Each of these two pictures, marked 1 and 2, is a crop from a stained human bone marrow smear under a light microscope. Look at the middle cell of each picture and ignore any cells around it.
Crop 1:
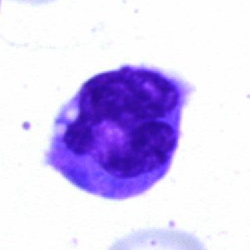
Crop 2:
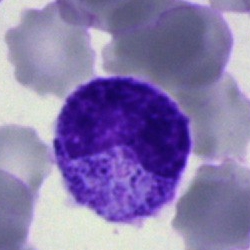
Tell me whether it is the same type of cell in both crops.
no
